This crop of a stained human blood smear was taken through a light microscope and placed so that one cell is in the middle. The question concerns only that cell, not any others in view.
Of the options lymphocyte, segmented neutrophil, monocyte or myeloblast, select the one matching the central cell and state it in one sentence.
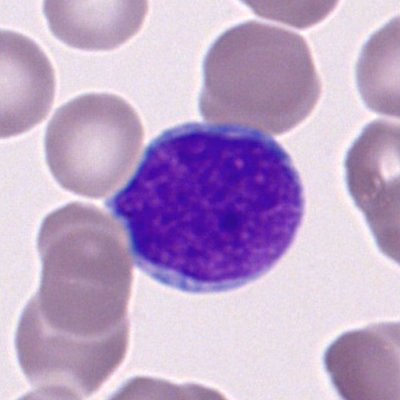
Classification of the middle cell gives a myeloblast.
